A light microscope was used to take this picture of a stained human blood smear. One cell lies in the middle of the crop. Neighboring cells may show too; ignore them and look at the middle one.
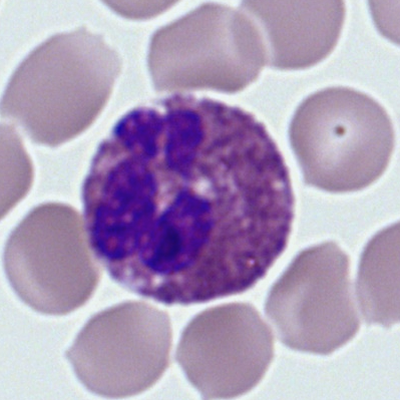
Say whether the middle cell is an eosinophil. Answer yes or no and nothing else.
yes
